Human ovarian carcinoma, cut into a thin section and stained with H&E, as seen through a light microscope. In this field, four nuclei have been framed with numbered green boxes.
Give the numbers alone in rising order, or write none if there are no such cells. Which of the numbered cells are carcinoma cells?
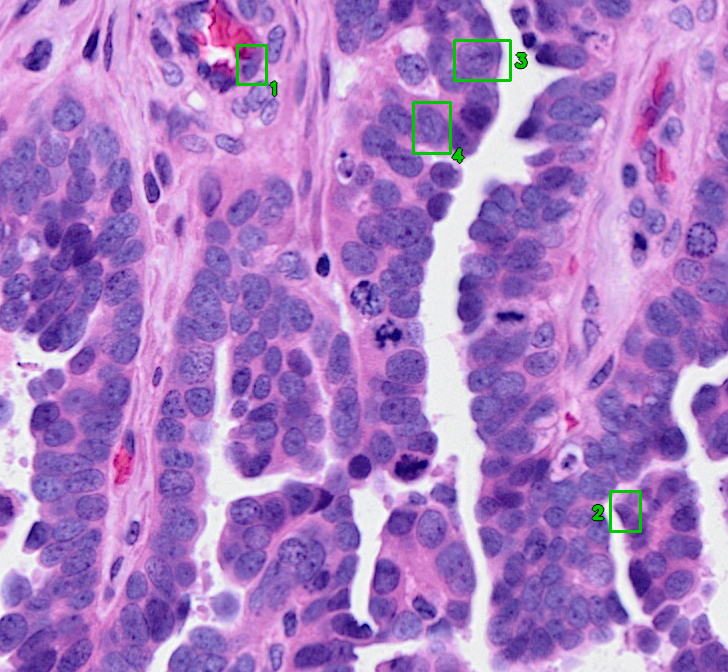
2, 3, 4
